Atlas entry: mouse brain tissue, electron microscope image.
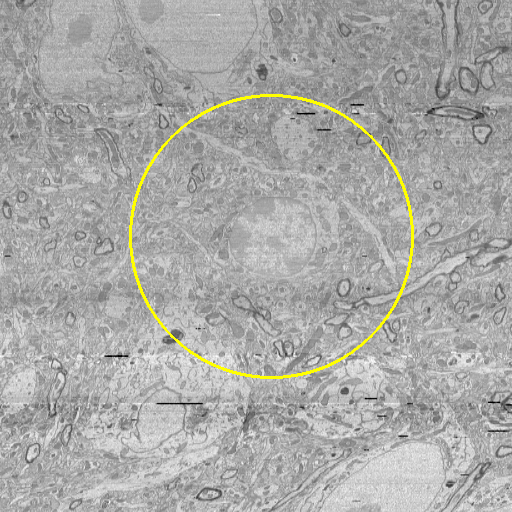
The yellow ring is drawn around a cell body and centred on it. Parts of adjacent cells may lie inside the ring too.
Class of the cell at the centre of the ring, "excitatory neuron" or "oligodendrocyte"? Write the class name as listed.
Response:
oligodendrocyte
